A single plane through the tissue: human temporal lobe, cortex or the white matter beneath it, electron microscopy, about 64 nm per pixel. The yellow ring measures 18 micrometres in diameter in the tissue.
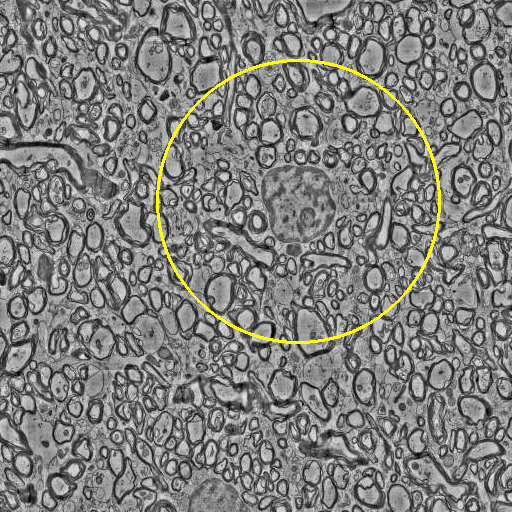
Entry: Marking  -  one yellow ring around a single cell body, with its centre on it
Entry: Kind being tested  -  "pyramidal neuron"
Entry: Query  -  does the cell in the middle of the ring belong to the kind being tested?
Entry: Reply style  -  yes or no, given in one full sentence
No, the centred cell within the ring in the picture belongs to a different kind.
